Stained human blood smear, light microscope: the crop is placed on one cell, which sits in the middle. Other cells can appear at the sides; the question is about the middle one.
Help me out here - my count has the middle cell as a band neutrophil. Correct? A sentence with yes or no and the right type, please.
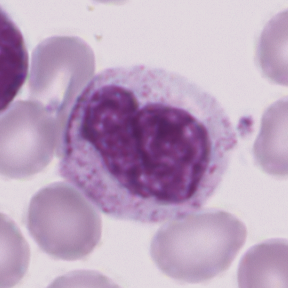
Yes, the cell at the midpoint of the crop is a band neutrophil.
